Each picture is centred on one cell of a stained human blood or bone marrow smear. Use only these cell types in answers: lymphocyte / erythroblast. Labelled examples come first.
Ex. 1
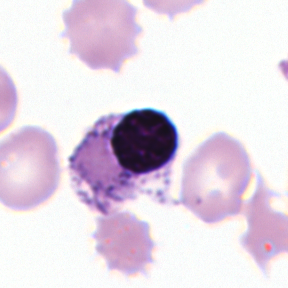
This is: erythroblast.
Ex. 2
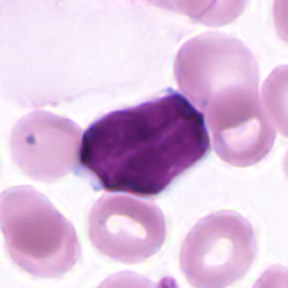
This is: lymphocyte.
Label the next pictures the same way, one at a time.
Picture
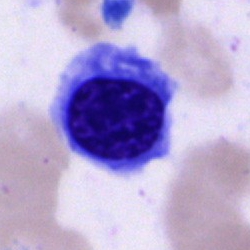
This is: erythroblast.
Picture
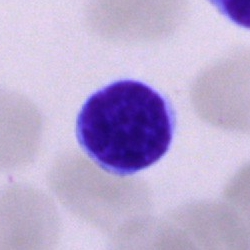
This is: lymphocyte.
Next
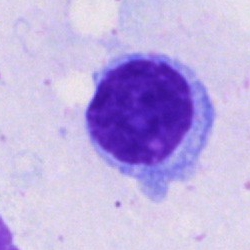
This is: lymphocyte.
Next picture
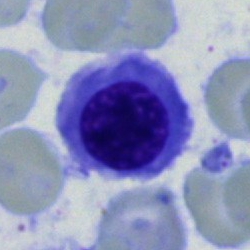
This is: erythroblast.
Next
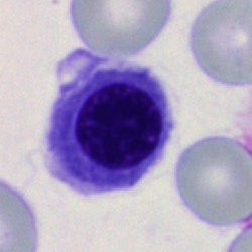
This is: erythroblast.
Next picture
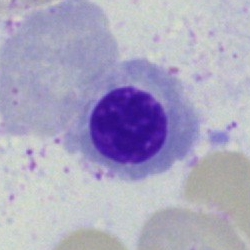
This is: erythroblast.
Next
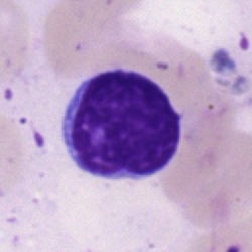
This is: lymphocyte.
